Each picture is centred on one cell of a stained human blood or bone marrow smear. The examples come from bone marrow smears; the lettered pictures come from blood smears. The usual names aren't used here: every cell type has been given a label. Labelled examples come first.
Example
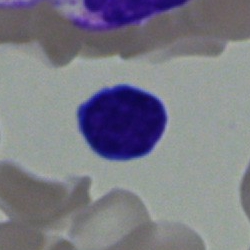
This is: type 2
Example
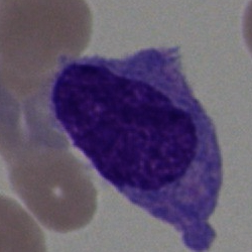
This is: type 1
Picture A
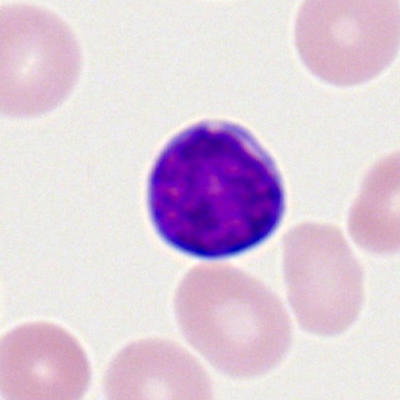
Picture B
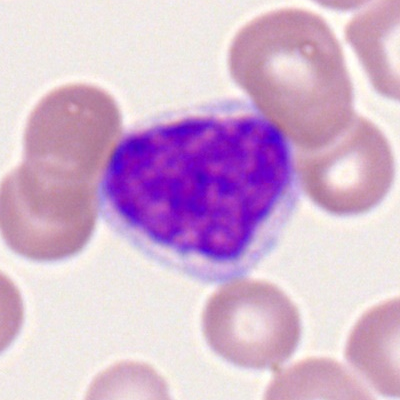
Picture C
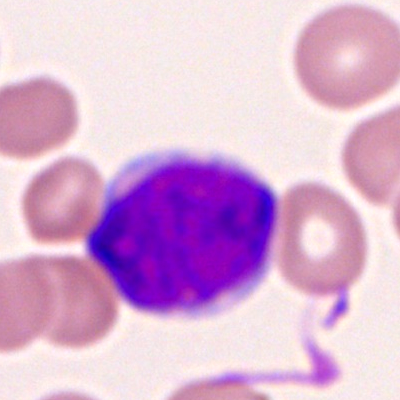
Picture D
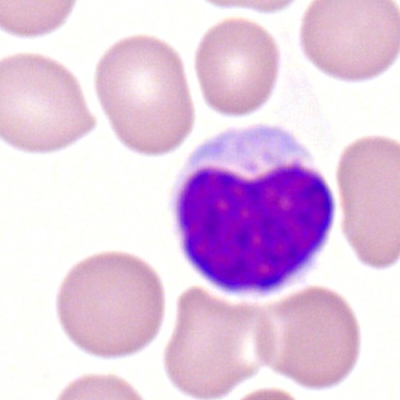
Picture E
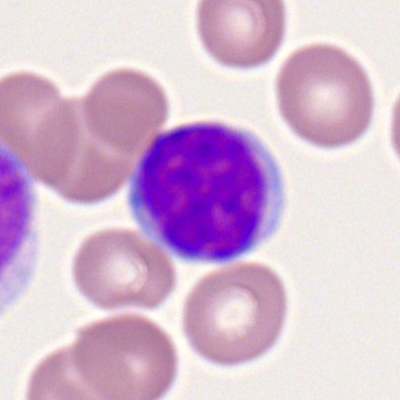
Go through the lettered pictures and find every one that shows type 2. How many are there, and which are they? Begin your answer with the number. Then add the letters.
4: A, B, D, E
